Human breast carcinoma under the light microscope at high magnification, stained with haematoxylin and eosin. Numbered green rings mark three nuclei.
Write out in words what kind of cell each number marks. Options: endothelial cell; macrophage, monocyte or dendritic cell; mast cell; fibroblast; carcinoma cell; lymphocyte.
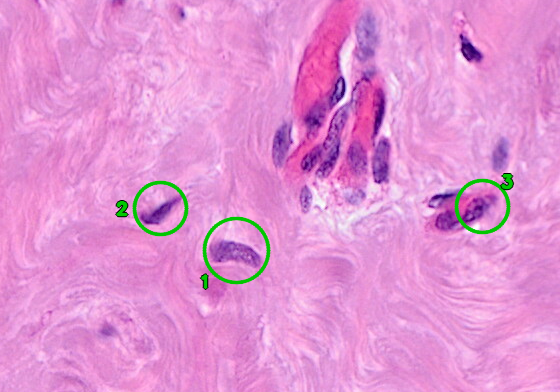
Cell 1 is a fibroblast, cell 2 is a fibroblast and cell 3 is an endothelial cell.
